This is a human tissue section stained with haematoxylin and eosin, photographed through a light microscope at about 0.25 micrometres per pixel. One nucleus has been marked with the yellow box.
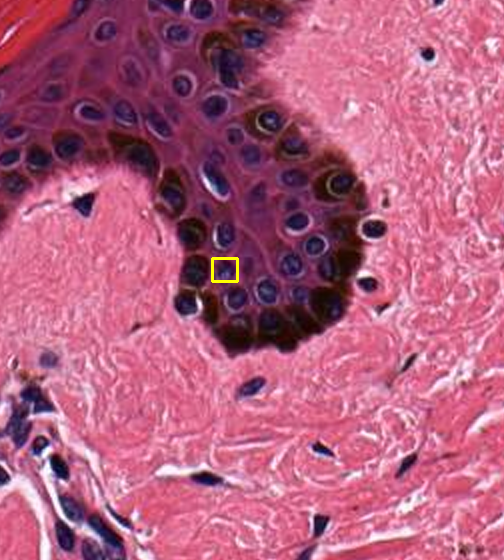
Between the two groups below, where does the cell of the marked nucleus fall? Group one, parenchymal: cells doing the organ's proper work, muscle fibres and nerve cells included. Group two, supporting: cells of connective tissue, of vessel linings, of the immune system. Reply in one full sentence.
On this slide the marked nucleus belongs to a parenchymal cell, namely a keratinocyte.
